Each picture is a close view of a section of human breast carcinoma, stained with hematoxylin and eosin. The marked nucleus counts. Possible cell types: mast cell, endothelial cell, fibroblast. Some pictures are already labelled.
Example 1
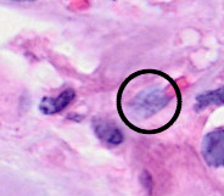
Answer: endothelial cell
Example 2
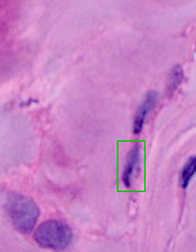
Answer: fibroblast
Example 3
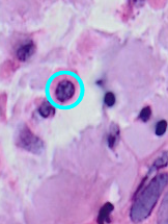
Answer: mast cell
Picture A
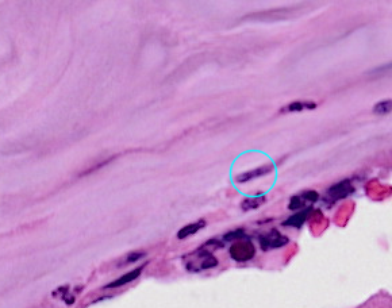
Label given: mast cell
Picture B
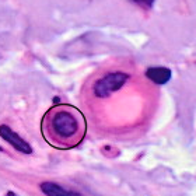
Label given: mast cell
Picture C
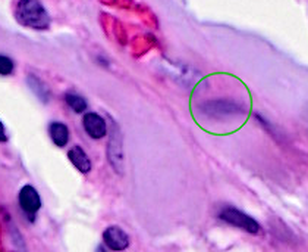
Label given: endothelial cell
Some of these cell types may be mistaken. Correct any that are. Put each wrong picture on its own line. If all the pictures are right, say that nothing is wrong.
A: fibroblast, not mast cell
